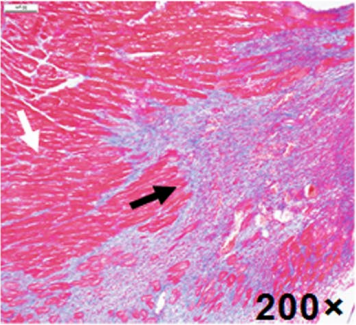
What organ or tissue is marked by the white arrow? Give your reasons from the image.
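The white arrow lies on red-stained, parallel elongated fibres. The red fibres form intact bundles away from the blue area.
Hence: viable muscle tissues.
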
